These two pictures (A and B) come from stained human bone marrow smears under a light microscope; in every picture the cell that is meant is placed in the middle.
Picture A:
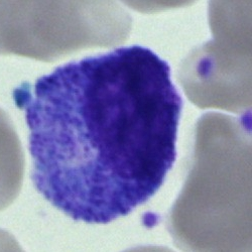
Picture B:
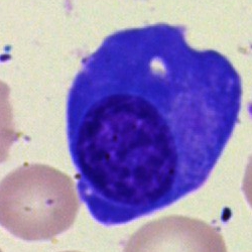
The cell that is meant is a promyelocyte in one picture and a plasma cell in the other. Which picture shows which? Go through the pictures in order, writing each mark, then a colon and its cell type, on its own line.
A: promyelocyte
B: plasma cell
